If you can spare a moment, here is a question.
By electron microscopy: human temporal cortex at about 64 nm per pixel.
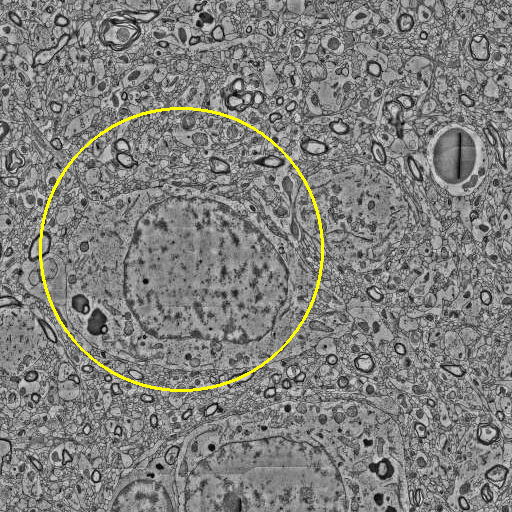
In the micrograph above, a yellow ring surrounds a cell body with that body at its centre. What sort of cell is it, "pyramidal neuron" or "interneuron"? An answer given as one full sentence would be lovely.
Centred inside the yellow ring, the cell body shown belongs to an interneuron in this micrograph.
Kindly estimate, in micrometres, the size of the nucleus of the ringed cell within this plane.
About 10 micrometres across in this plane.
